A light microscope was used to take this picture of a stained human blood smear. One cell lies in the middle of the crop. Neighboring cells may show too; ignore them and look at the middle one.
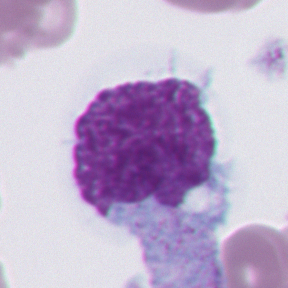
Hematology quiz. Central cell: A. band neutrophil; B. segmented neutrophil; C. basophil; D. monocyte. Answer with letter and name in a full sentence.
Option D holds, for the cell in the middle is a monocyte.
